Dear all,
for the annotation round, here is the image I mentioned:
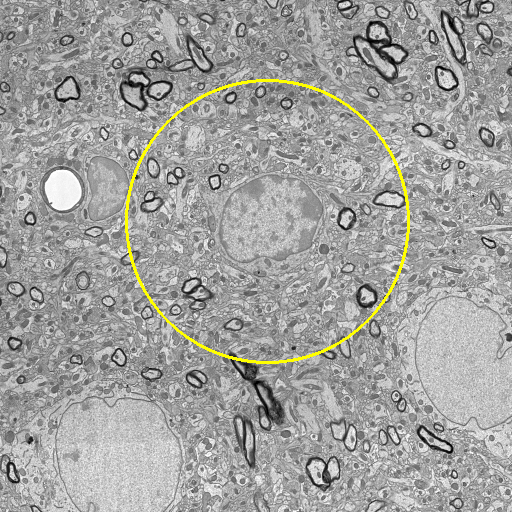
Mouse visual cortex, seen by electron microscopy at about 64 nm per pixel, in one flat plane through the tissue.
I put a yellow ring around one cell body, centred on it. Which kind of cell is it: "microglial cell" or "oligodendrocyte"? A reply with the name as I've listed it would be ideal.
oligodendrocyte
